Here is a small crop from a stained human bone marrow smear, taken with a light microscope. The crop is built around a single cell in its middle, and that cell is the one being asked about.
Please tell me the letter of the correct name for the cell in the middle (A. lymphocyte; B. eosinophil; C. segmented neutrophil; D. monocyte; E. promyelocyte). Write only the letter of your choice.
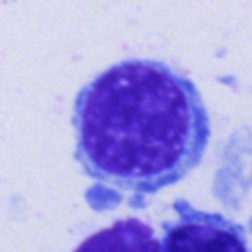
A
